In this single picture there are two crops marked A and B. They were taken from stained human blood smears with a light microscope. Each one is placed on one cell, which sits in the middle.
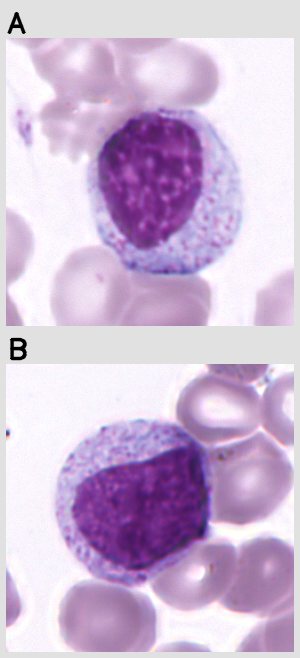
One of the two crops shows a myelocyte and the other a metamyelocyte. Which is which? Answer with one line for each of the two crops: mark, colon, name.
A: metamyelocyte
B: myelocyte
